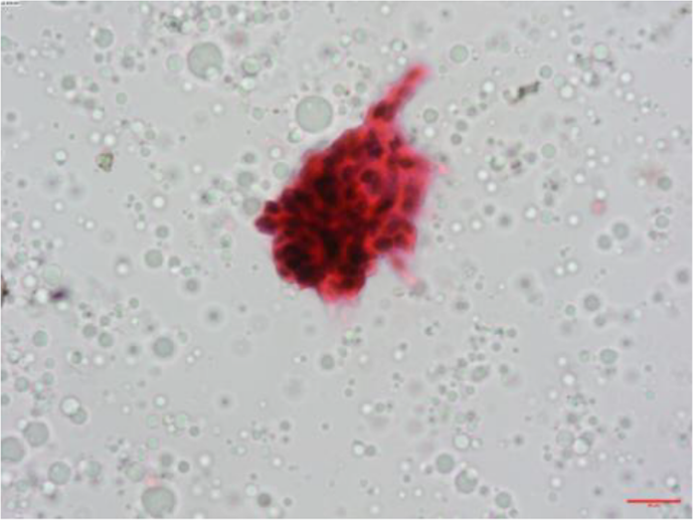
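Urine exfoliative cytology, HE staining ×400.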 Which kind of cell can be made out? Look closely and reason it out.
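A compact, thick cluster of tightly packed cells stained deep red. Many dark, crowded and overlapping nuclei within the cluster. The cluster lies on a background of many small, pale, round refractile bodies. The answer: suspicious cancer cells.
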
